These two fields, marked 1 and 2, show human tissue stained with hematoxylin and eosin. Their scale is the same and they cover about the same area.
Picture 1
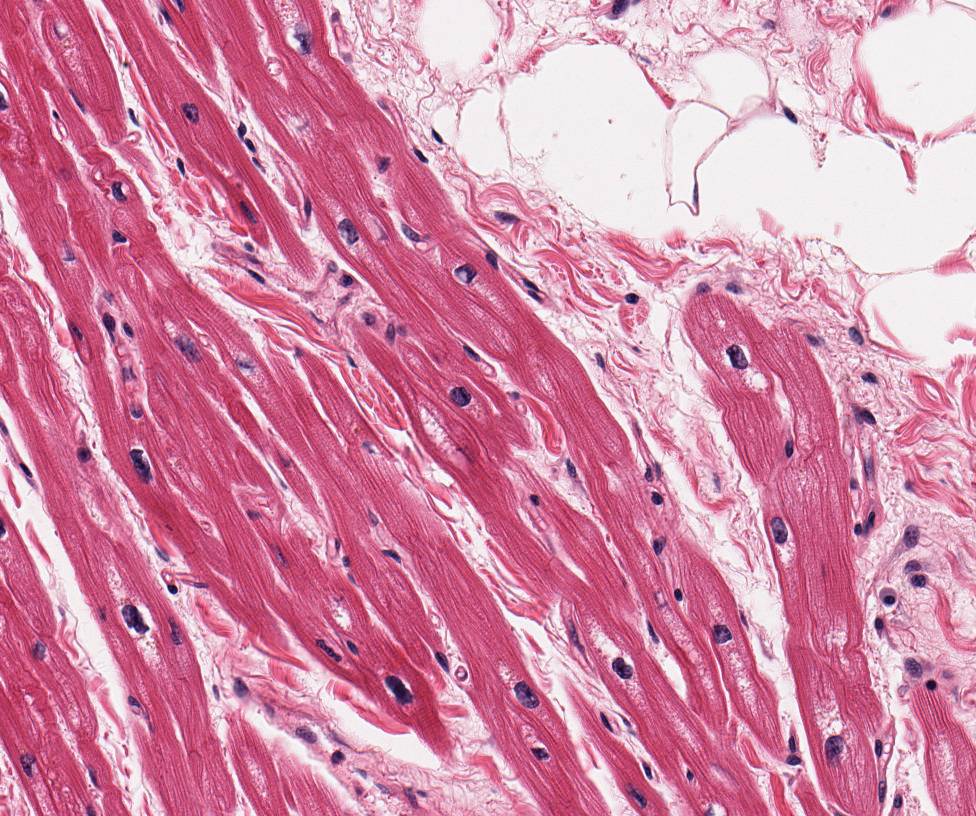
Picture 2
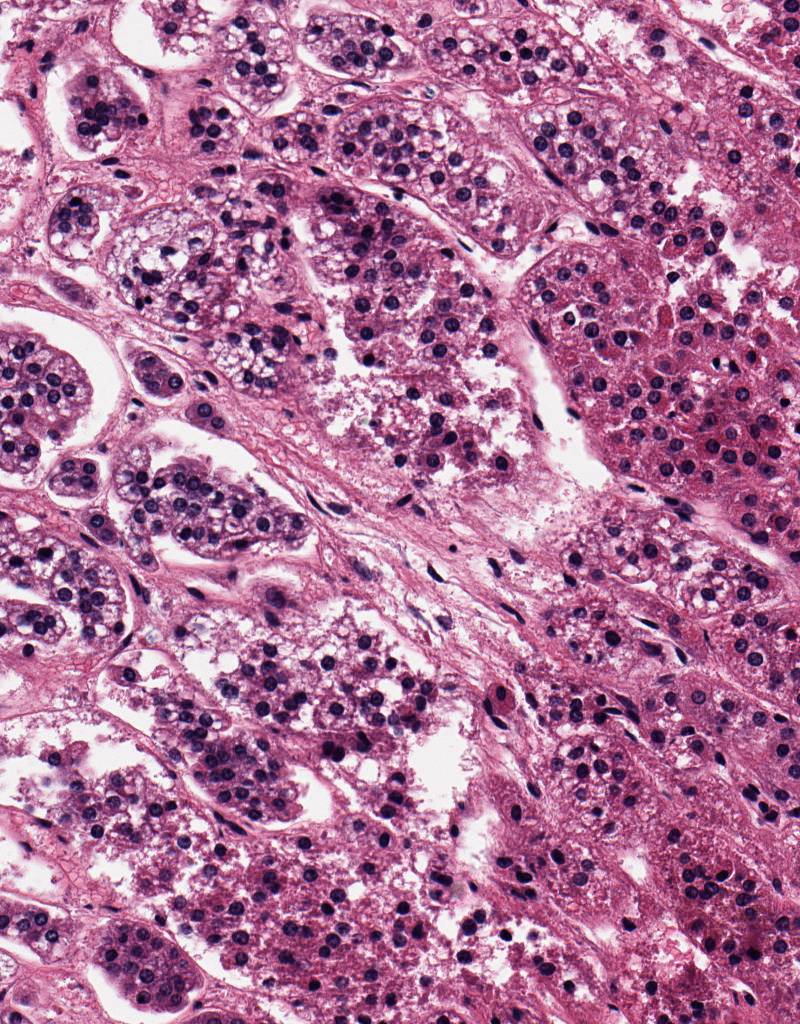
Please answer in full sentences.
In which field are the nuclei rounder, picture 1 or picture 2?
On the whole the nuclei of picture 2 are rounder than those of picture 1.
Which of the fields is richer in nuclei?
The larger number of nuclei is in picture 2.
